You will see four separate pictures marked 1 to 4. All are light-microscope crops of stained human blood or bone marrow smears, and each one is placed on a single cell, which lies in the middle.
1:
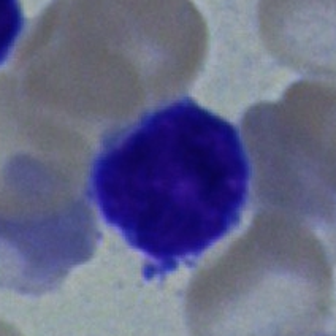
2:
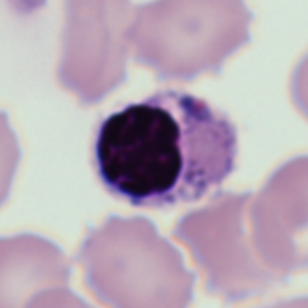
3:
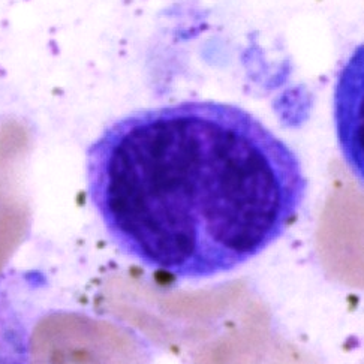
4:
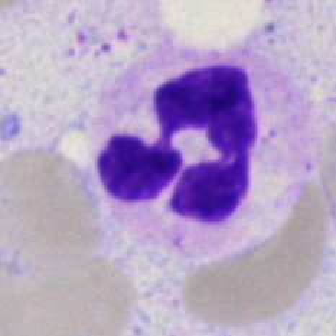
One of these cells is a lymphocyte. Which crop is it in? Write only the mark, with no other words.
1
